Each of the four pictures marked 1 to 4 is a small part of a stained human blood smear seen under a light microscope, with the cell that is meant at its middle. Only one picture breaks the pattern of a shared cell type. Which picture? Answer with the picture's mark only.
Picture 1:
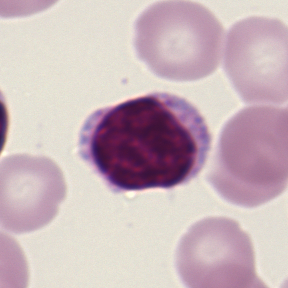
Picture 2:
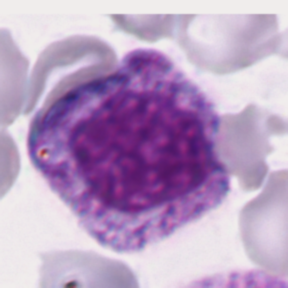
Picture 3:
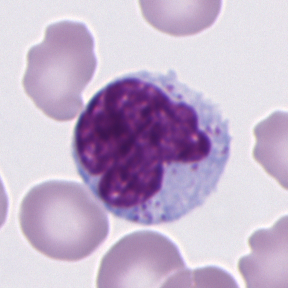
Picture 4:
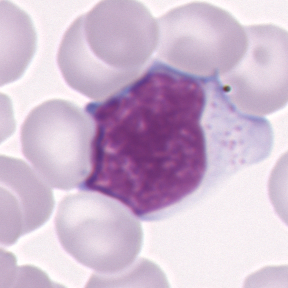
2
